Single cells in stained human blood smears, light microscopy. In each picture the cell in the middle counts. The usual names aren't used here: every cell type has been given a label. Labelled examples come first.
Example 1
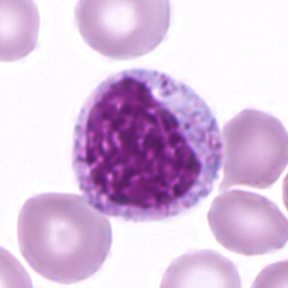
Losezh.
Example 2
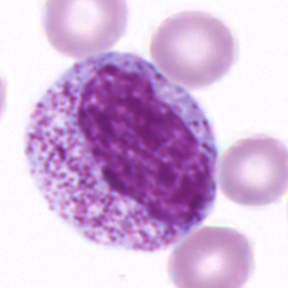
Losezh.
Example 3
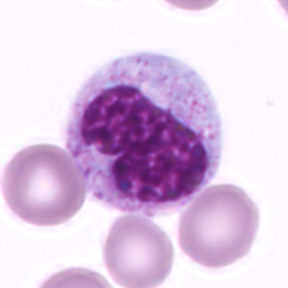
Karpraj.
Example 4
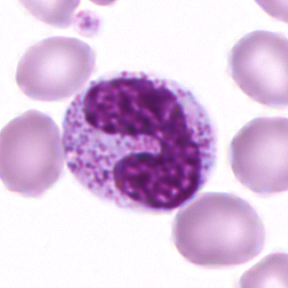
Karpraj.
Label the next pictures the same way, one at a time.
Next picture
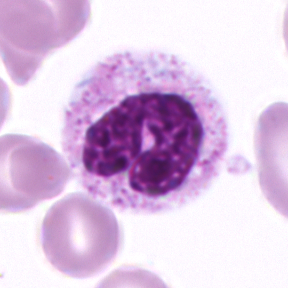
Karpraj.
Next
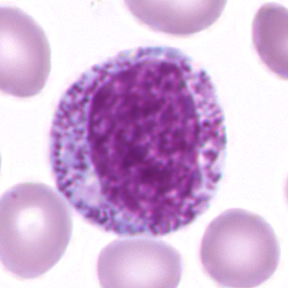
Losezh.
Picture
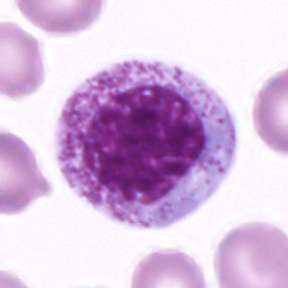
Losezh.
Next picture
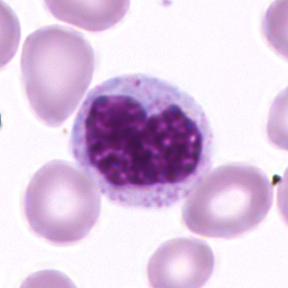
Karpraj.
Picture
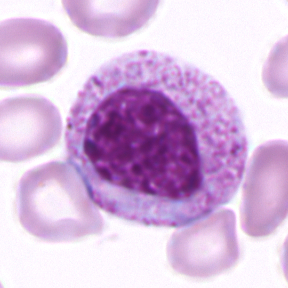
Losezh.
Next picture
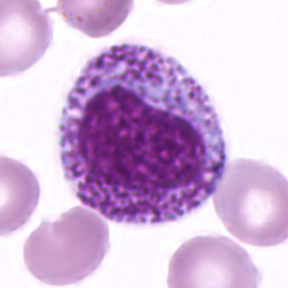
Losezh.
